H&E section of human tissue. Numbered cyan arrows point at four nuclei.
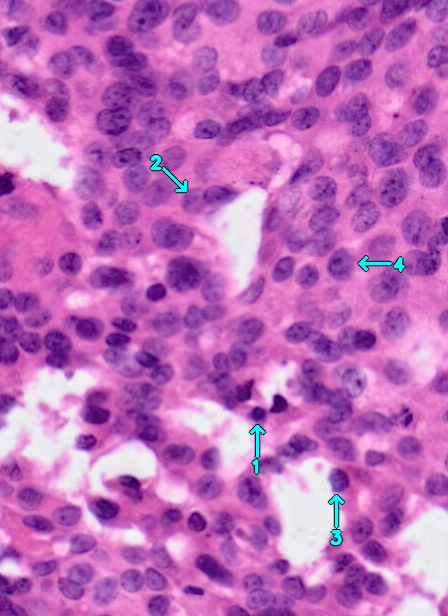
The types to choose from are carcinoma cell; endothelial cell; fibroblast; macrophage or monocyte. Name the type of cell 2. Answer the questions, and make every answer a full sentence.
Belonging to a carcinoma cell is the nucleus that carries the number 2.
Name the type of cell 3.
The cell referred to as 3 is a carcinoma cell.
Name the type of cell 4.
In this section, number 4 marks a carcinoma cell.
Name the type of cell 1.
Numbered cell 1 is a macrophage or monocyte in this tissue section.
